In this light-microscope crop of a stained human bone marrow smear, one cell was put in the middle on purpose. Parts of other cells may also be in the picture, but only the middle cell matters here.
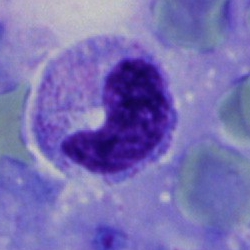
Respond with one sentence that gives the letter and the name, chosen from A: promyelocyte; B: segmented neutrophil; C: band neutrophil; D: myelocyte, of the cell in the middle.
Occupying the middle of the crop is a band neutrophil, hence option C is correct.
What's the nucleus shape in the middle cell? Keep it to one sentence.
In this cell the nucleus is a solitary compact mass, round, oval or kidney-shaped.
